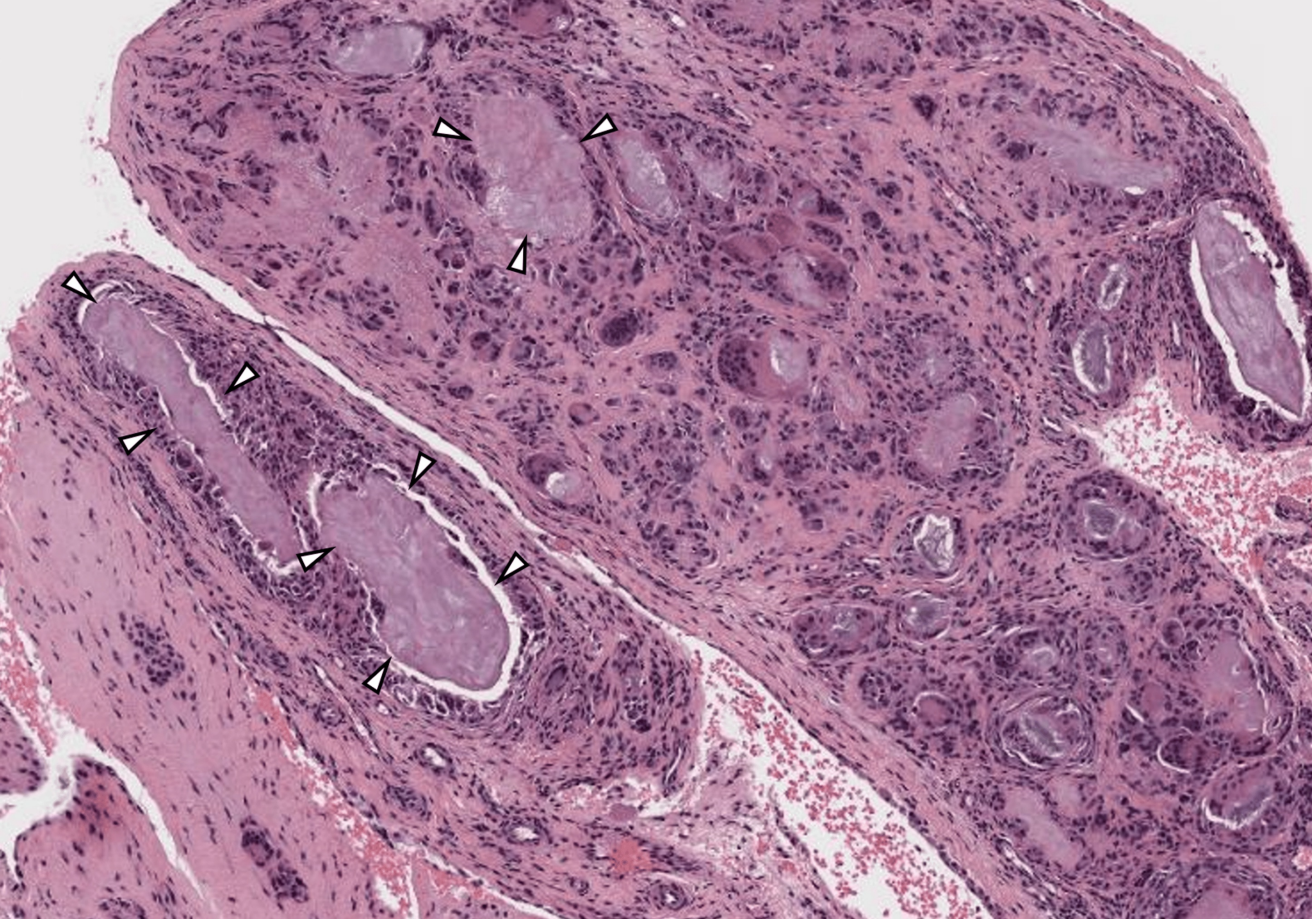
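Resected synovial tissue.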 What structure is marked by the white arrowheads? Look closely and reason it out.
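Deposits of acellular pale-staining fibrillary material. The marked areas are filled with pale pink, amorphous to finely fibrillary material. There are no nuclei inside the marked material. Each marked deposit is rimmed by a layer of cells with dark nuclei.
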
